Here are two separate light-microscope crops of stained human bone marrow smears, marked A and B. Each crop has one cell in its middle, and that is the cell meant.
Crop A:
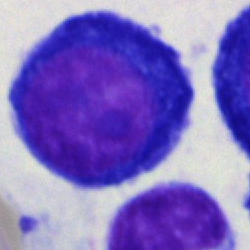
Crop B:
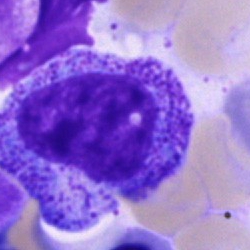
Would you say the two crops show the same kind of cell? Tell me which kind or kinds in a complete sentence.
No, just to correct that: crop A shows a proerythroblast, crop B shows a promyelocyte.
